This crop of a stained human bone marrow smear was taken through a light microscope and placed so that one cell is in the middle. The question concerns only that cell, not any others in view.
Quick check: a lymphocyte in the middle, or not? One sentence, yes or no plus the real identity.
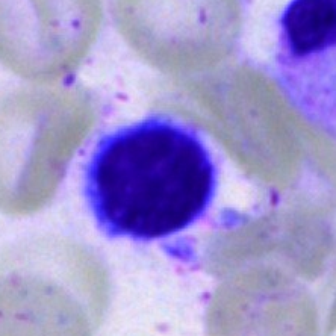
Yes, the cell lying in the centre of the crop is identified as a lymphocyte.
